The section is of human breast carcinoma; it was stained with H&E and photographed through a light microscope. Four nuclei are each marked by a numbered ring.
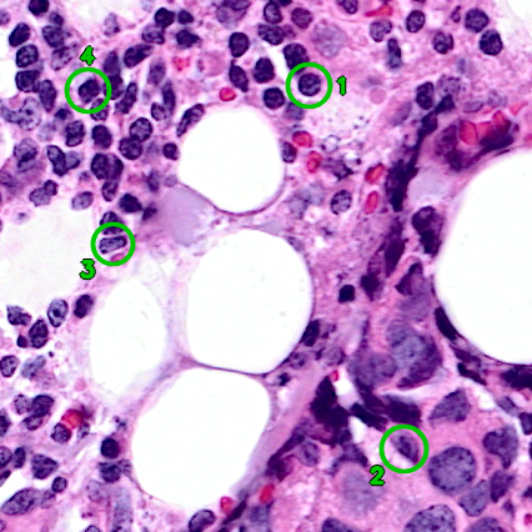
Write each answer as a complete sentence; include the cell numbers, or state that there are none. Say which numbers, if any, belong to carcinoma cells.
In this set of numbered cells, only cell 2 is a carcinoma cell.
